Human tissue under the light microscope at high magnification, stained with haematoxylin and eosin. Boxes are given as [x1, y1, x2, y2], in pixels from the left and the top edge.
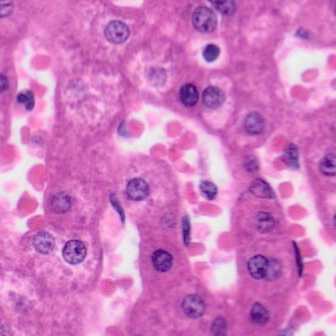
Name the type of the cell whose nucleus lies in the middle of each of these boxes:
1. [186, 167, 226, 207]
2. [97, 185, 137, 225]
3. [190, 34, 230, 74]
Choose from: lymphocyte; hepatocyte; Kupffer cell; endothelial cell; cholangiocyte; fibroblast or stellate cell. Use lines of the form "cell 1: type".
cell 1: lymphocyte
cell 2: endothelial cell
cell 3: lymphocyte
